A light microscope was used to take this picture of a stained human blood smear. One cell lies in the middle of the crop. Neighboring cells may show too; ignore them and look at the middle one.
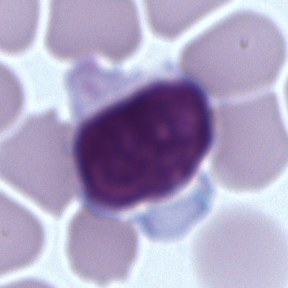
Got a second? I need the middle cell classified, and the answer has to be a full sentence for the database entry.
By classification, the middle cell of this crop is a lymphocyte.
